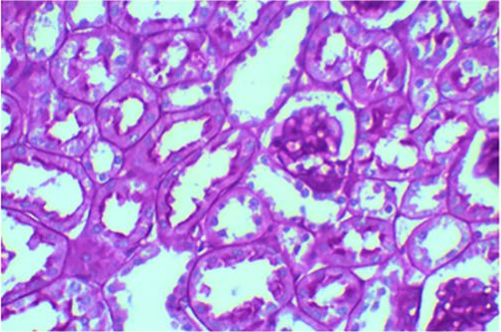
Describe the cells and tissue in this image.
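This is a section of kidney cortex with many tubules cut in cross section and a glomerulus near the centre. Each tubule is a round or oval ring of epithelial cells bounded by a thin, sharply magenta basement membrane, with the cytoplasm stained pink-purple and small bluish nuclei along the wall. The lumens are mostly open and clear. The glomerulus is a compact, dark magenta lobulated tuft of capillary loops surrounded by a narrow clear space. The tubules sit closely packed with little interstitium between them, the ordinary appearance of healthy cortex.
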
